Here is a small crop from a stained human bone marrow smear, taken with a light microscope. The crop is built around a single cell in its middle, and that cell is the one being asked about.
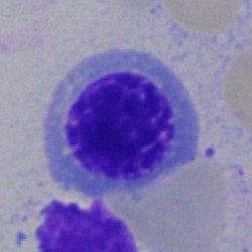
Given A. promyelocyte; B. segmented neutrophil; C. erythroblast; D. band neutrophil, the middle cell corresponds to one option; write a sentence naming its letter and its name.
In this crop the middle cell is an erythroblast, so option C is the correct answer.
